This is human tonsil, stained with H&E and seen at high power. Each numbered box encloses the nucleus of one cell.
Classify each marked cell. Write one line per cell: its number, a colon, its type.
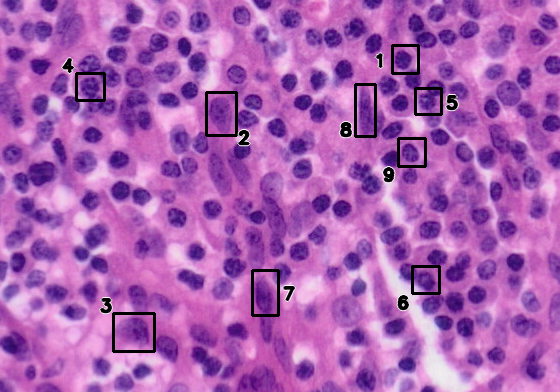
1: plasma cell
2: squamous epithelial cell
3: squamous epithelial cell
4: plasma cell
5: plasma cell
6: plasma cell
7: squamous epithelial cell
8: squamous epithelial cell
9: plasma cell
